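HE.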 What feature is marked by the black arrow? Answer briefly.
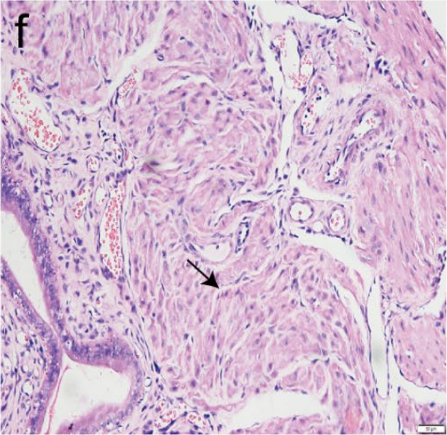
muscle interspace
